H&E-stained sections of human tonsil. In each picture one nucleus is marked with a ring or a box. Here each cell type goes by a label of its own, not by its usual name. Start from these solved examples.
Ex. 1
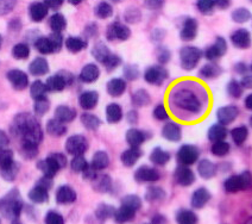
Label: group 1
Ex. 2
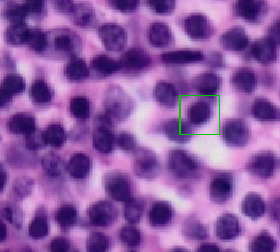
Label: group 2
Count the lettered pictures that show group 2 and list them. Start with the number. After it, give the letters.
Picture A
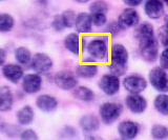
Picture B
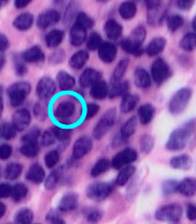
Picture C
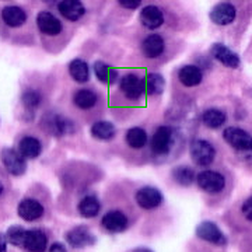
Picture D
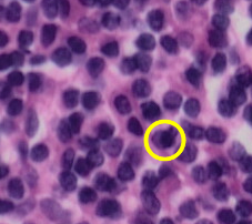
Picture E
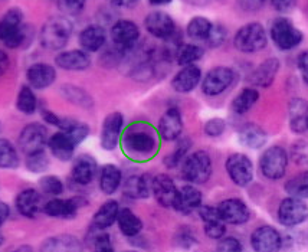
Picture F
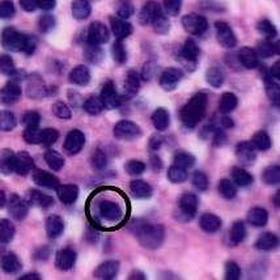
4, namely A, B, D, F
